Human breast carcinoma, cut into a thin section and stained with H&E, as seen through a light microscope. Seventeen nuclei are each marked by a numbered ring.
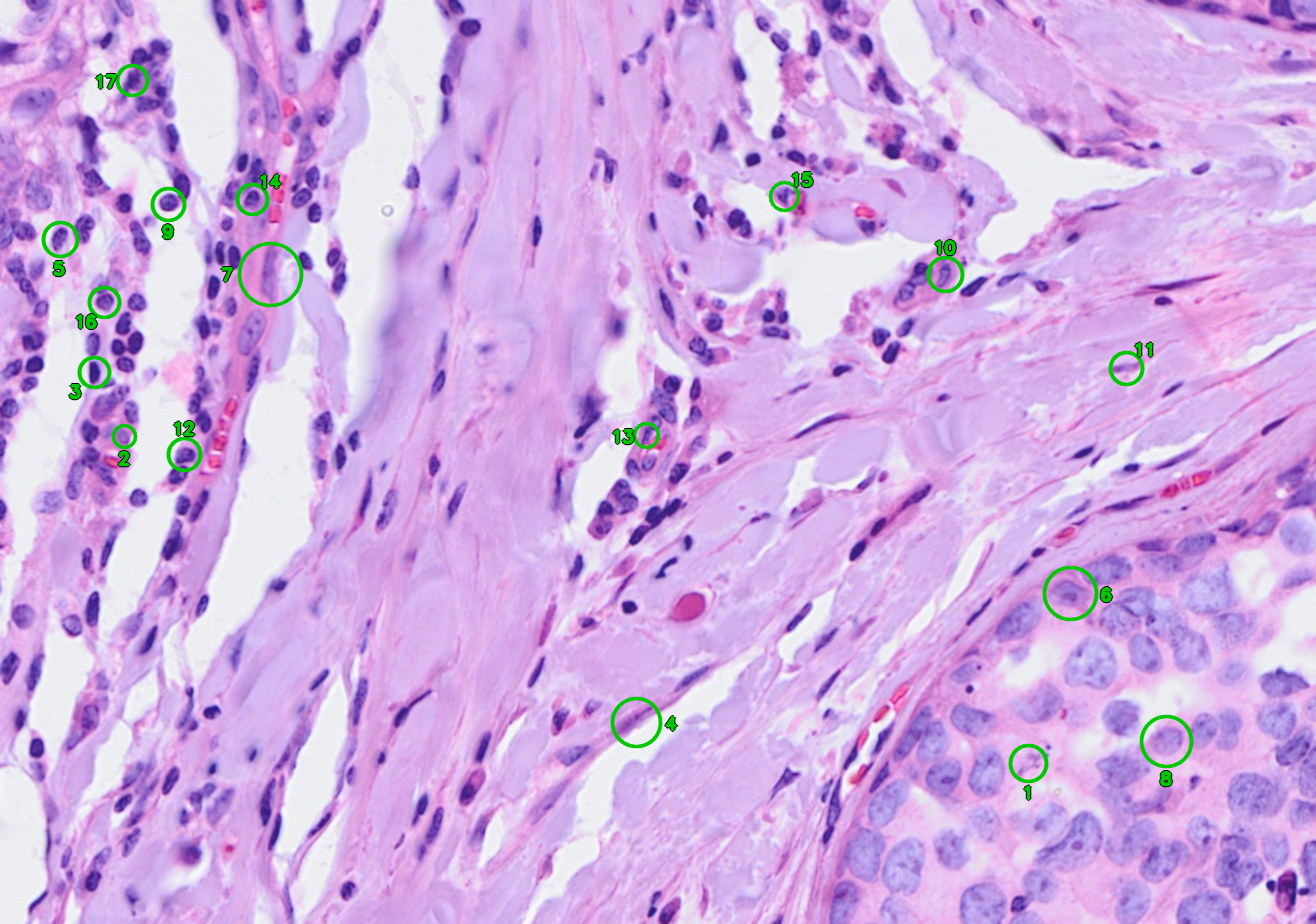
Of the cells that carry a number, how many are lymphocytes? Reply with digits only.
7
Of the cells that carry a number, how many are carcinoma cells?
3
